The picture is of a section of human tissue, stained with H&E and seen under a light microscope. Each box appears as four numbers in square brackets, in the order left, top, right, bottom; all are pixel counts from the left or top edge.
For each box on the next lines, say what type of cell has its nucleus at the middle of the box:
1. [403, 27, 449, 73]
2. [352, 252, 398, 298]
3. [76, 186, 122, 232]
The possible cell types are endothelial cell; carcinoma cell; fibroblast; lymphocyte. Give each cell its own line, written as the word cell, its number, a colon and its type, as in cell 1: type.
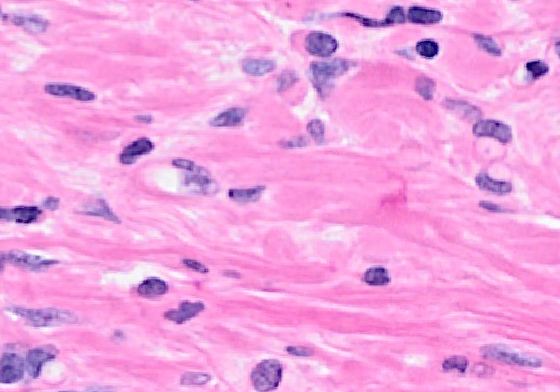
cell 1: lymphocyte
cell 2: lymphocyte
cell 3: fibroblast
